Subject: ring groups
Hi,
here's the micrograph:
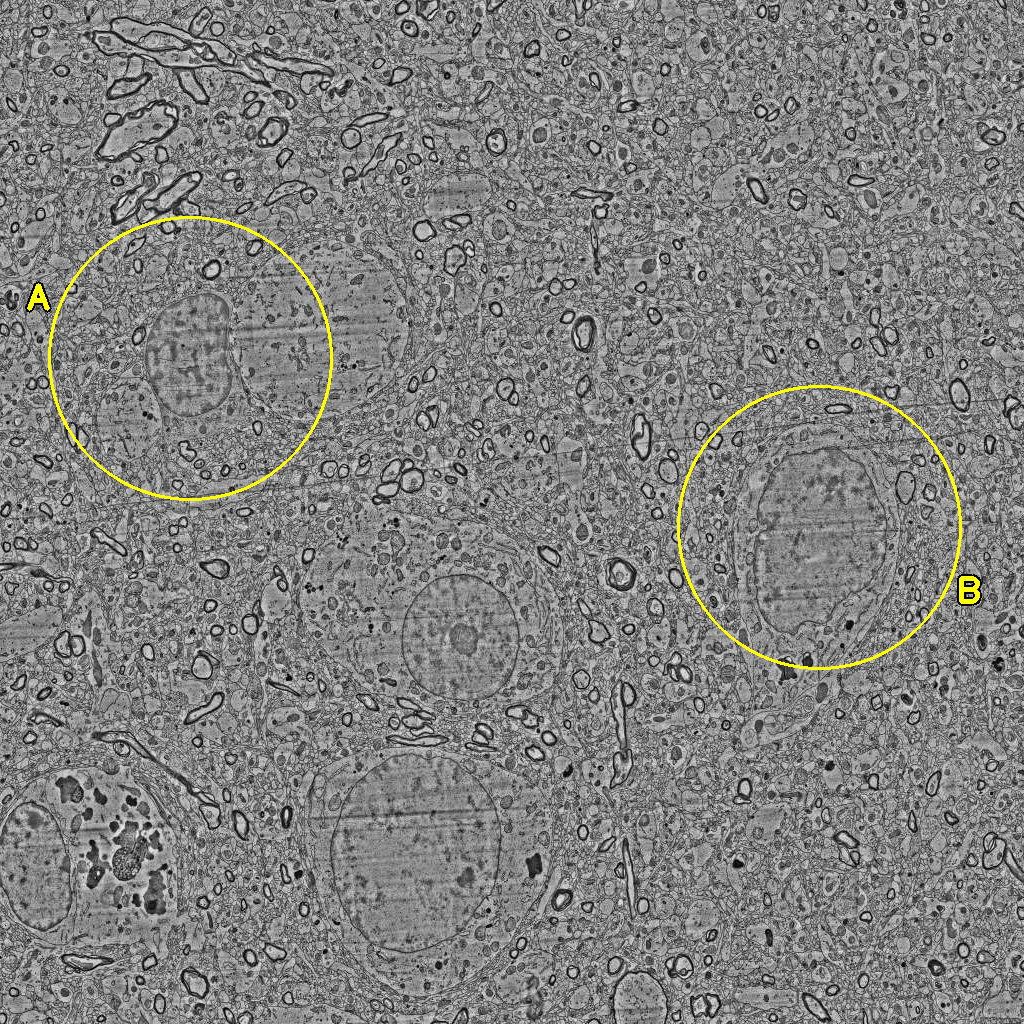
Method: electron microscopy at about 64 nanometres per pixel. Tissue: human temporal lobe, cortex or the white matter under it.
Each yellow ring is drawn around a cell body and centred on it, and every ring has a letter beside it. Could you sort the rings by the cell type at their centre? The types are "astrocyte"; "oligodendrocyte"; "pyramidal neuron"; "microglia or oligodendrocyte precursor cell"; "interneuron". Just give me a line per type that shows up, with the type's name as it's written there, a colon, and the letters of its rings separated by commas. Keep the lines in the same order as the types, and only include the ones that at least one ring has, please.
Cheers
oligodendrocyte: A
interneuron: B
